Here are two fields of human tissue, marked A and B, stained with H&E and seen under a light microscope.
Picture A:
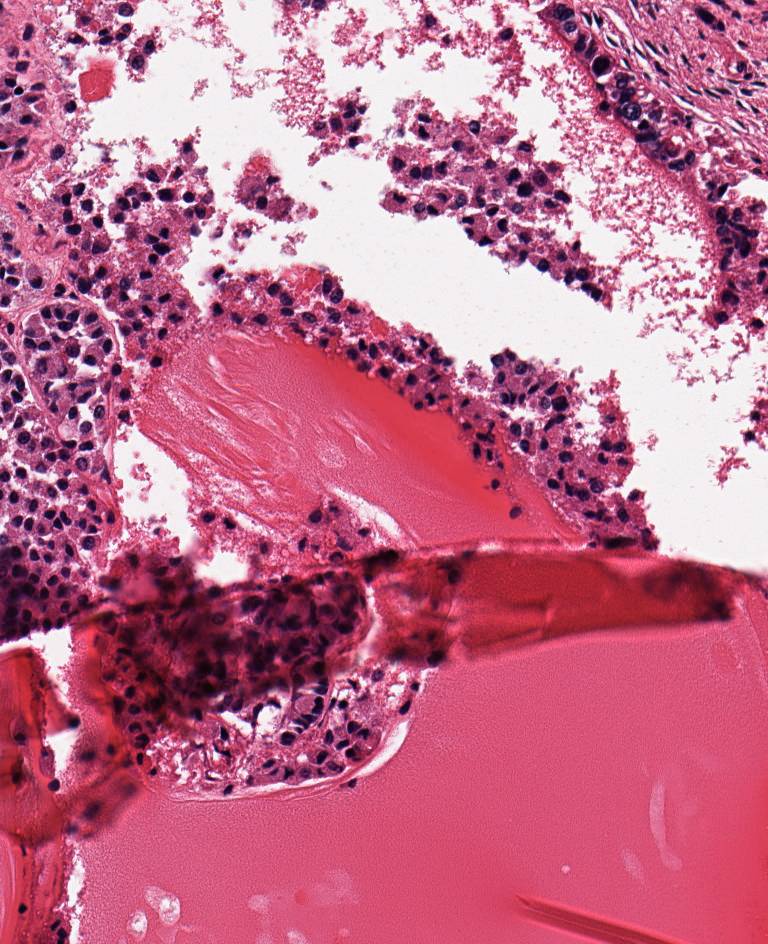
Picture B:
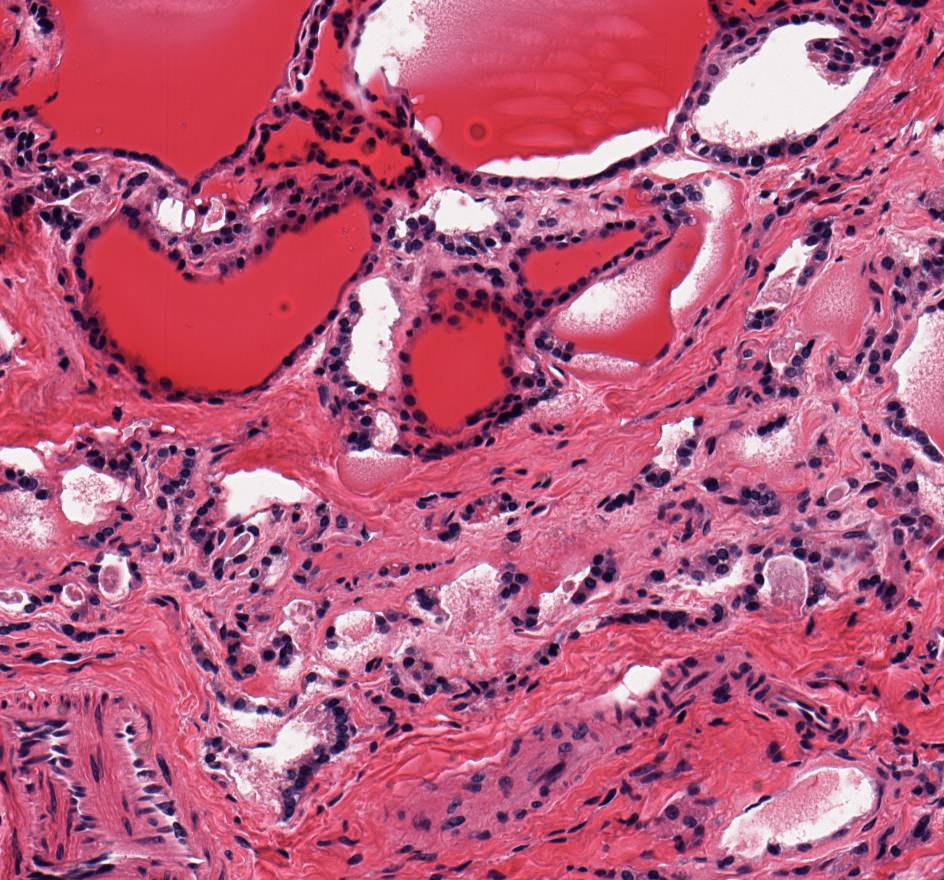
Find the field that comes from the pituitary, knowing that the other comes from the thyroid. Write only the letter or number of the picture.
A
